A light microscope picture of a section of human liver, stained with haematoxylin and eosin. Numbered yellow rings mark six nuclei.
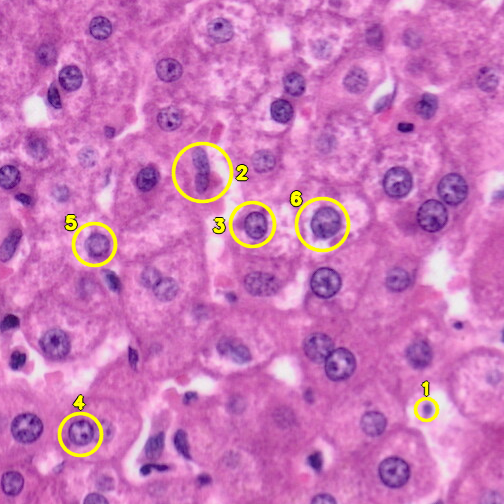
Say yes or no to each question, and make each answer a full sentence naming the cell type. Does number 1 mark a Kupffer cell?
No, the cell under number 1 is a lymphocyte, not a Kupffer cell.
